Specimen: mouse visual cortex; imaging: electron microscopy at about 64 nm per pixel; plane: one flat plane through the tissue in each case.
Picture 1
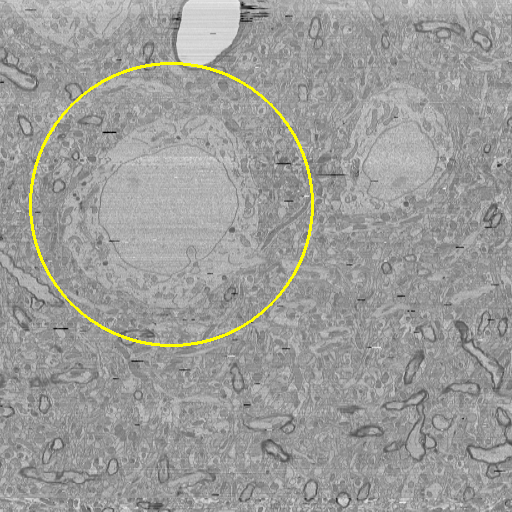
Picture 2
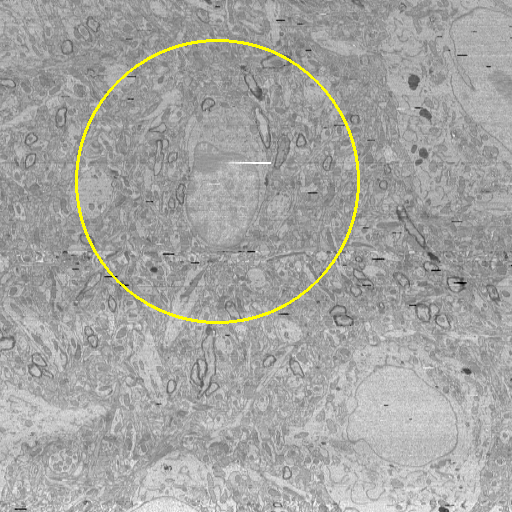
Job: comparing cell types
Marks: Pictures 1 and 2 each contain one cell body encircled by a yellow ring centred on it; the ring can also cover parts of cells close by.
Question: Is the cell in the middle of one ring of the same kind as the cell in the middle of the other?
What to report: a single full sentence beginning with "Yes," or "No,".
No, the cell at the ring centre in Picture 1 and its partner in Picture 2 are of two kinds.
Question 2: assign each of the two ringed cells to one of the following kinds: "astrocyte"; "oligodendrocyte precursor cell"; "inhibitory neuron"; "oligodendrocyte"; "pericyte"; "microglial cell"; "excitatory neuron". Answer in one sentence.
The two cells are an excitatory neuron in the first picture and an oligodendrocyte in the second.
